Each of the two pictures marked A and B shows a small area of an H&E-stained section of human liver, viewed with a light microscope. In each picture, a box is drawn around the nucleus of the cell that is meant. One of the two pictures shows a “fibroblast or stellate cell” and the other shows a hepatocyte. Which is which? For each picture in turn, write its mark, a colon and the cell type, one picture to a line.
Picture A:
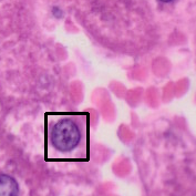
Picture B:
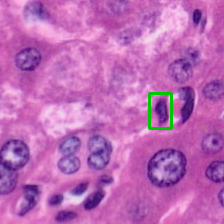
A: hepatocyte
B: fibroblast or stellate cell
